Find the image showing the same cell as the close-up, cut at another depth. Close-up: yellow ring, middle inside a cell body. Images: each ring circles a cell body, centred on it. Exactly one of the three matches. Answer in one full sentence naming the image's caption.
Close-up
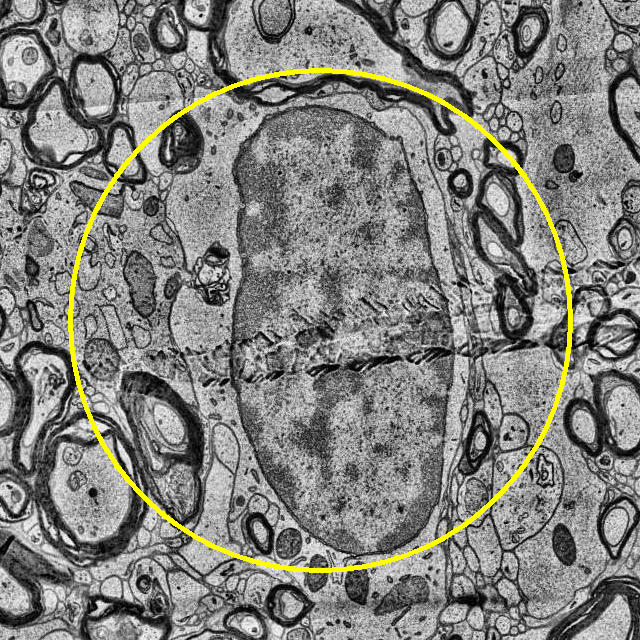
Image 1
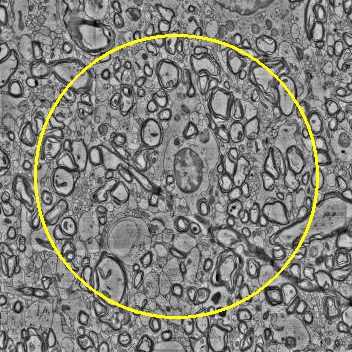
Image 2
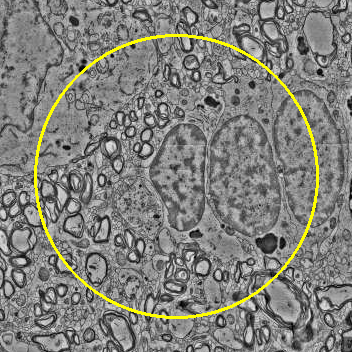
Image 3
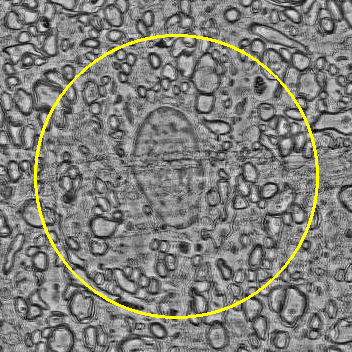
The close-up focuses on the cell marked by the ring in Image 3.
